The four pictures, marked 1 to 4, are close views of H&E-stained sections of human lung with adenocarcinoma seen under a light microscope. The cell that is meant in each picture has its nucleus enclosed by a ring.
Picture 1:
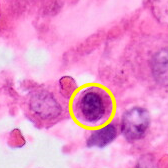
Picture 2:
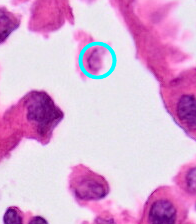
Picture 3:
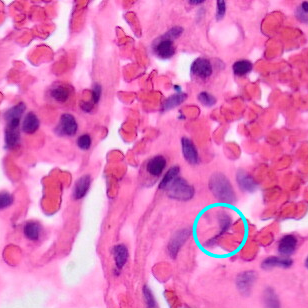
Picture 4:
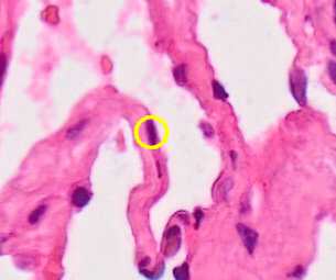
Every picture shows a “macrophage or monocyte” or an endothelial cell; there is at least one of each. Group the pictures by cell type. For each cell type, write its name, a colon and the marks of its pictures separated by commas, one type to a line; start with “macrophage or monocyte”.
macrophage or monocyte: 1, 2
endothelial cell: 3, 4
